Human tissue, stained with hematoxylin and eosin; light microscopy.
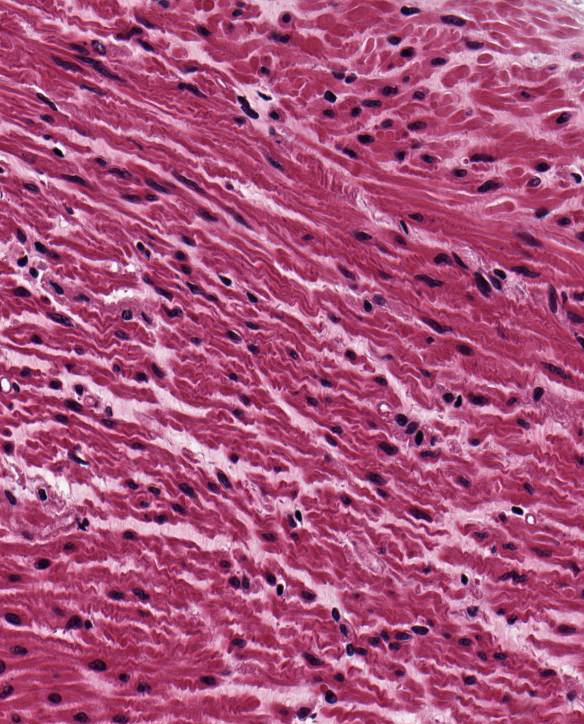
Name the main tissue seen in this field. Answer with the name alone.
smooth muscle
